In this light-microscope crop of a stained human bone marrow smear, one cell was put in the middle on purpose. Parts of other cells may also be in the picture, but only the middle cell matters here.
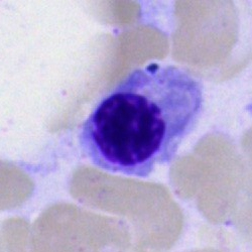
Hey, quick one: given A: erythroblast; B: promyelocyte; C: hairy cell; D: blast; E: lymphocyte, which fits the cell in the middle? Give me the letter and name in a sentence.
For this crop, option A is right, the centered cell being an erythroblast.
